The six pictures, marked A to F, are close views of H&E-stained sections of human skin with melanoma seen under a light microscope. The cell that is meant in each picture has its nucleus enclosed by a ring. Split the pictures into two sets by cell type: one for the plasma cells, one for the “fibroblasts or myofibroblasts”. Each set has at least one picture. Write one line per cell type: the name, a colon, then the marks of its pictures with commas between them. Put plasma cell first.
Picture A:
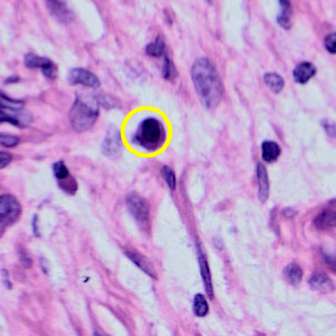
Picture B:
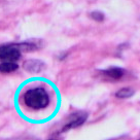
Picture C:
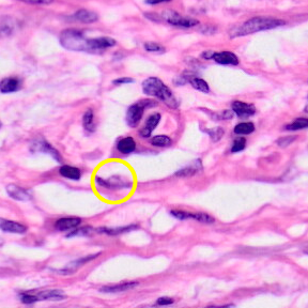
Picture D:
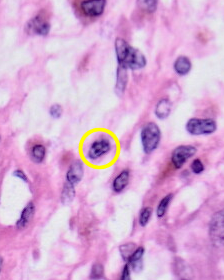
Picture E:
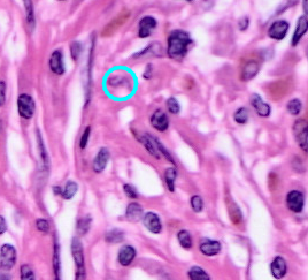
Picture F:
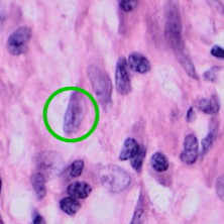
plasma cell: A, B, D
fibroblast or myofibroblast: C, E, F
